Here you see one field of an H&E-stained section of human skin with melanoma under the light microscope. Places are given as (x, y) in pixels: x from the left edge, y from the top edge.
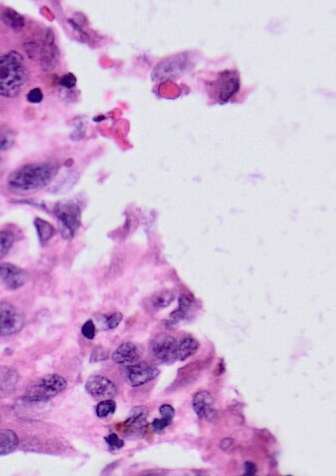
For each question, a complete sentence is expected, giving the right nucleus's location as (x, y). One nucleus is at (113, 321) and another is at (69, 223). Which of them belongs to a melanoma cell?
The nucleus at (69, 223) belongs to a melanoma cell, which distinguishes it from the other nucleus.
